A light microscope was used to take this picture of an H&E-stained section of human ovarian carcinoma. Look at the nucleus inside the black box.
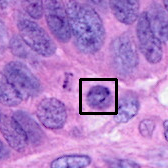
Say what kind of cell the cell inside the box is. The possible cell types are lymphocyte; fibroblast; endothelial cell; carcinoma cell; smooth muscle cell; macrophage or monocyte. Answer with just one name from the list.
macrophage or monocyte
